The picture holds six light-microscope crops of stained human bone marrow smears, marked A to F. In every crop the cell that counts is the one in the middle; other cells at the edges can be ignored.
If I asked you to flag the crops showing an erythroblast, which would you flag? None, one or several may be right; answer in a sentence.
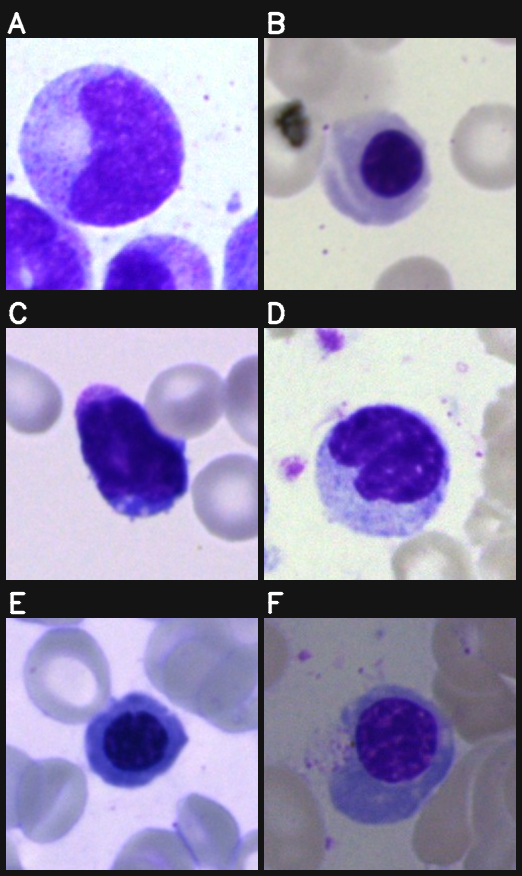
The central cells found in crops B, E and F are erythroblasts.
